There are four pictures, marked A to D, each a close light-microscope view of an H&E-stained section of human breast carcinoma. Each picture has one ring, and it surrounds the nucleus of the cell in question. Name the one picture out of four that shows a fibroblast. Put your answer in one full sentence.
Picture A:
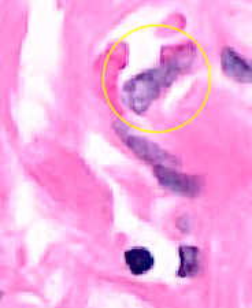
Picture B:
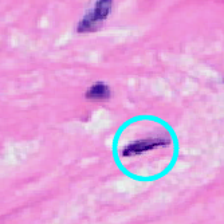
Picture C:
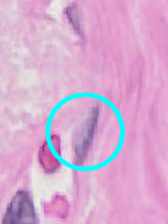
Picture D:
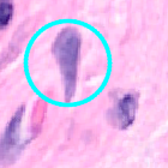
The cell in picture B is the fibroblast.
